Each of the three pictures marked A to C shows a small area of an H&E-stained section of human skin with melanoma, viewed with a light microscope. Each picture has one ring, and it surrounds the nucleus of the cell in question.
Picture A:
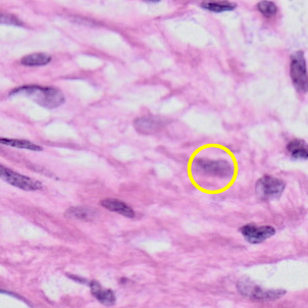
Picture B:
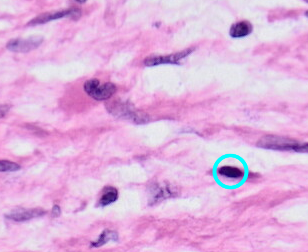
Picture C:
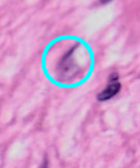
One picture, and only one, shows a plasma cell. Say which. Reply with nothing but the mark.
B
